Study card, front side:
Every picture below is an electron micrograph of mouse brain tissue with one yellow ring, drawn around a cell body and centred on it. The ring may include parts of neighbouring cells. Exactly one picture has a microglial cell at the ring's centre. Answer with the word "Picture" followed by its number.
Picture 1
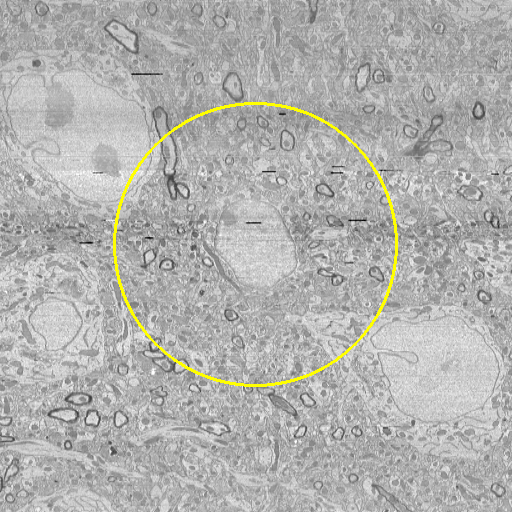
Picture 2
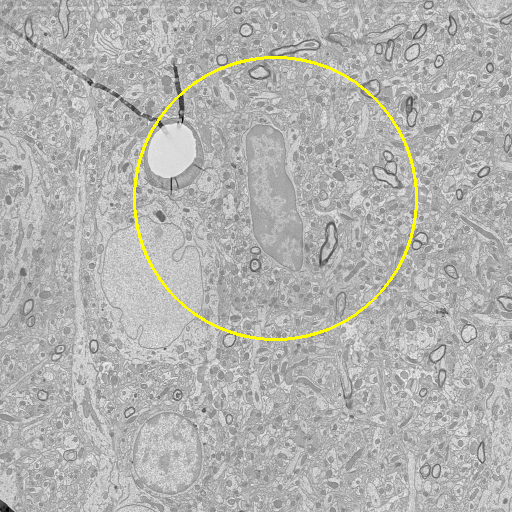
Picture 2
